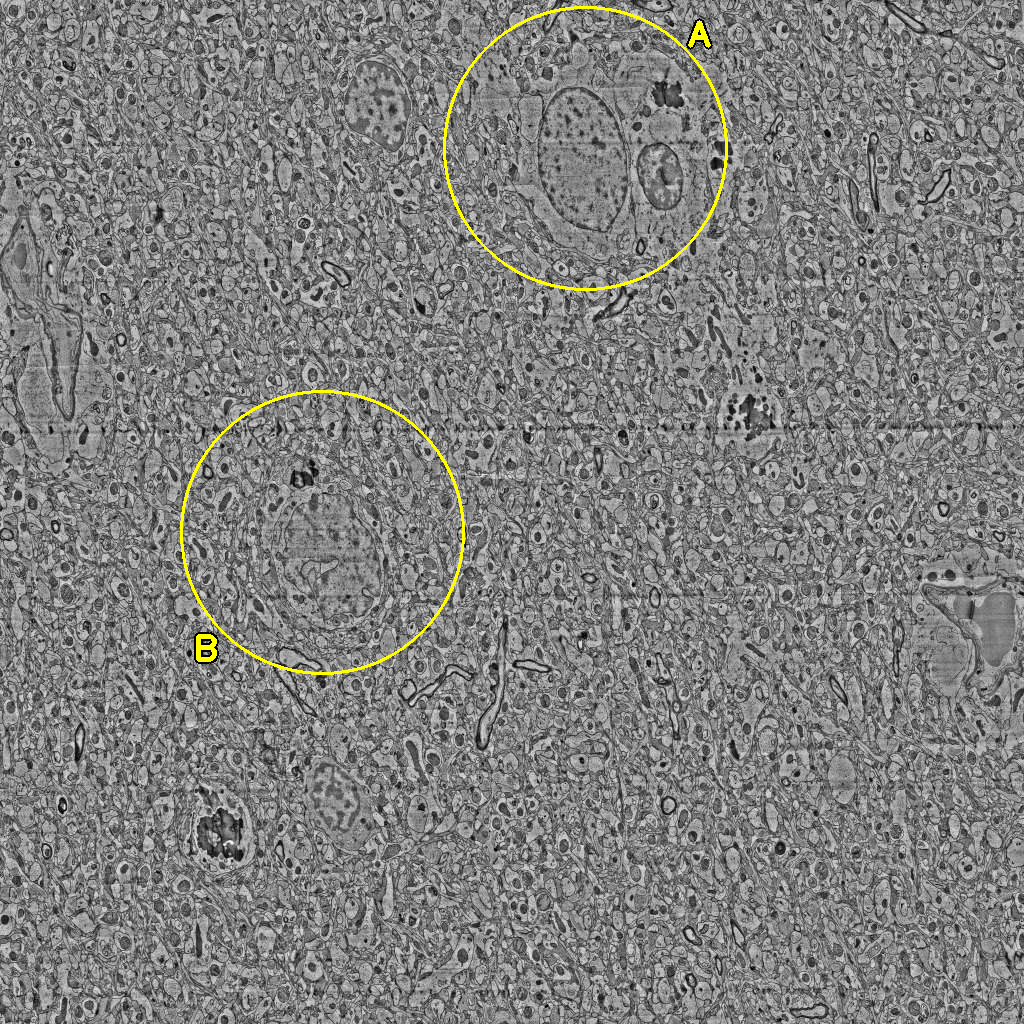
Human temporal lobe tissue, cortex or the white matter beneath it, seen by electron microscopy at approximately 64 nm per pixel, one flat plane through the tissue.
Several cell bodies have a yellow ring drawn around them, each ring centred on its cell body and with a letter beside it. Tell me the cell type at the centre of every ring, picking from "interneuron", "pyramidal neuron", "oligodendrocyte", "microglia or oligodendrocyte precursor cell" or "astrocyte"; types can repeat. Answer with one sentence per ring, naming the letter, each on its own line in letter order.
In ring A, the central cell is an astrocyte.
In ring B, the central cell is an interneuron.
